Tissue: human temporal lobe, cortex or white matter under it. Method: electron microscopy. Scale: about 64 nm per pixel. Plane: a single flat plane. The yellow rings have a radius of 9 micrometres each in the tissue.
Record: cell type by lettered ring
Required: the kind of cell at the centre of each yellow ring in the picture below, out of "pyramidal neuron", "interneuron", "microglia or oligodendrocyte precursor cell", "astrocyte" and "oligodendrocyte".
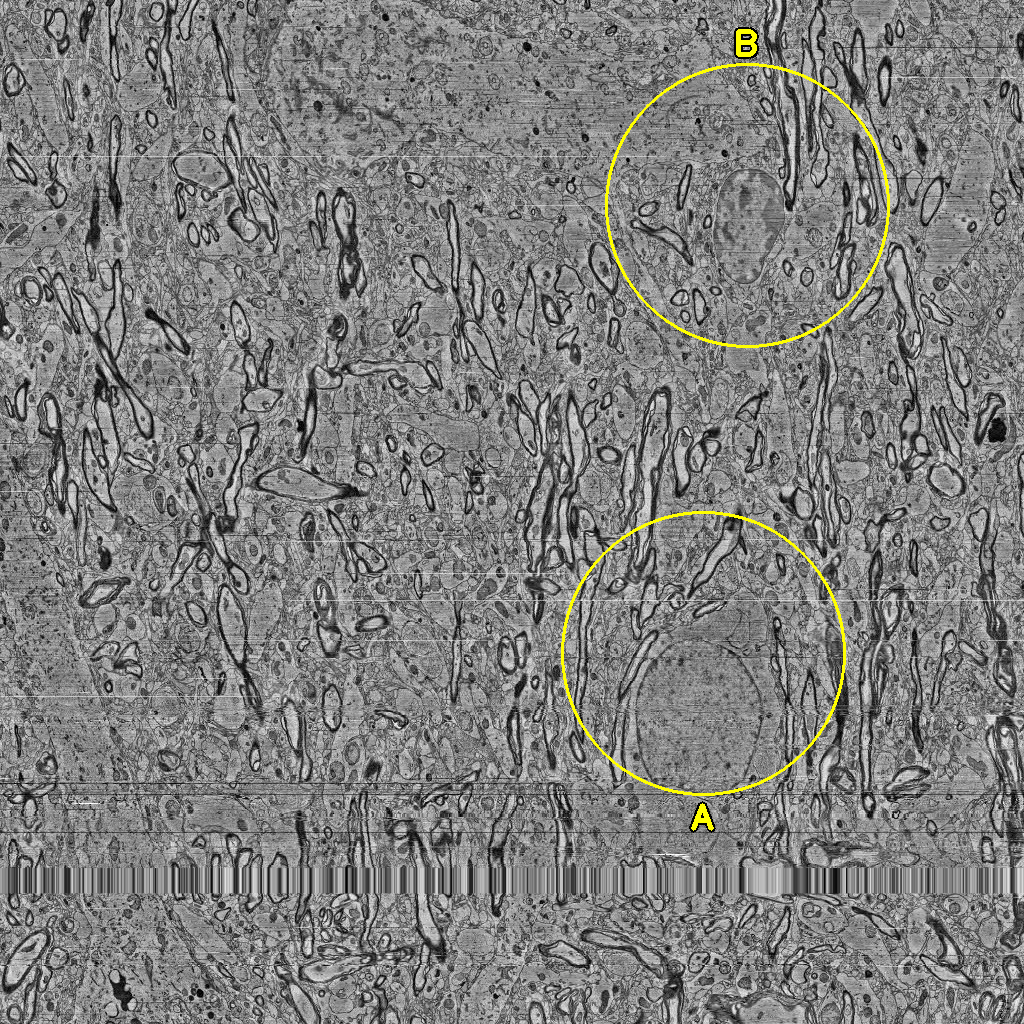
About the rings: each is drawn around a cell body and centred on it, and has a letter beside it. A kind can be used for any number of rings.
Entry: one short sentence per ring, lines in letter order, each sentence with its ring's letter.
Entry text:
At ring A we have an astrocyte.
At ring B we have a microglial cell or oligodendrocyte precursor cell.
